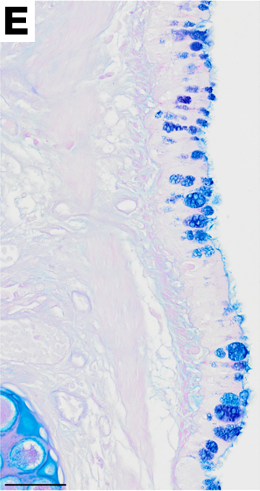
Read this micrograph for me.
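Airway wall with a surface epithelium in which many mucus secretory cells are packed with dark blue-staining droplets. Beneath the epithelium lies loose pale pink connective tissue with small vascular spaces. In the lower left corner a piece of cartilage stains intense blue with lacunae containing chondrocytes.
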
